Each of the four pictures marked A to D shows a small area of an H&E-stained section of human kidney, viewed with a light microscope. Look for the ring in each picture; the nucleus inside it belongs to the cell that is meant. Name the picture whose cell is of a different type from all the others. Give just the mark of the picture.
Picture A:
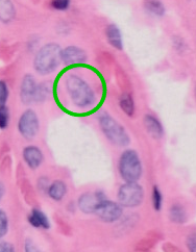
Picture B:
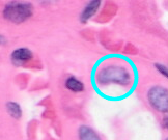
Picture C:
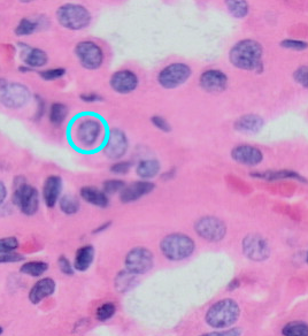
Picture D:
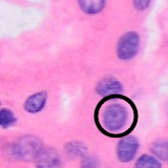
B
